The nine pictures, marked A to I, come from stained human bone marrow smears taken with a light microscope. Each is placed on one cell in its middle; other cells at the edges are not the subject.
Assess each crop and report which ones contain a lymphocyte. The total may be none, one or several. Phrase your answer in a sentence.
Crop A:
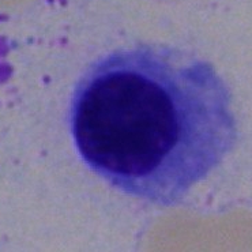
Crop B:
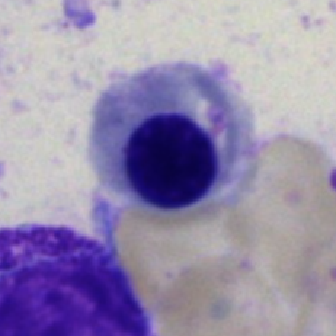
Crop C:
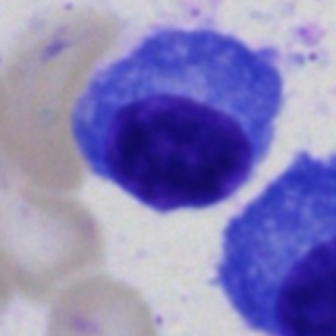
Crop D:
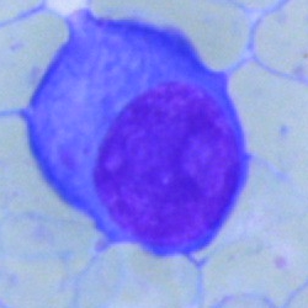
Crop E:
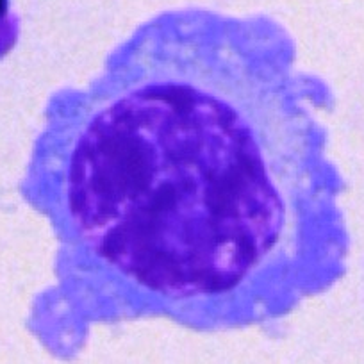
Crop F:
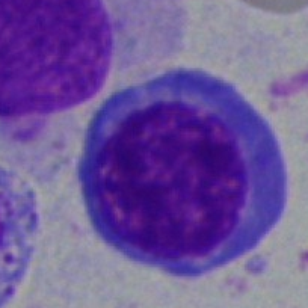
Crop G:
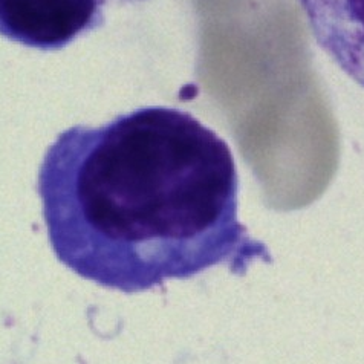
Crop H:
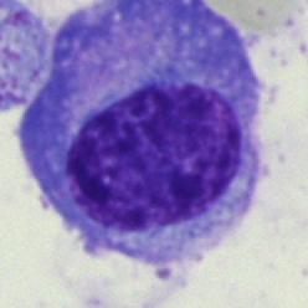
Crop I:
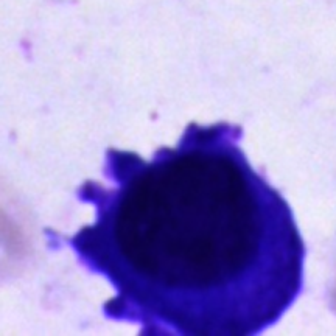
Findings: not one crop in the series shows a lymphocyte.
